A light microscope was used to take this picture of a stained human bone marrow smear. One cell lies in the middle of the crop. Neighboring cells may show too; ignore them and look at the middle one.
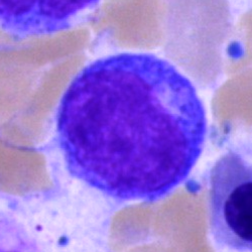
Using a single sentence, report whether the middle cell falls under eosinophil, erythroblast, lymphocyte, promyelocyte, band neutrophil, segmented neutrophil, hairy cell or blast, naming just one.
The central cell in this smear crop is a blast.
